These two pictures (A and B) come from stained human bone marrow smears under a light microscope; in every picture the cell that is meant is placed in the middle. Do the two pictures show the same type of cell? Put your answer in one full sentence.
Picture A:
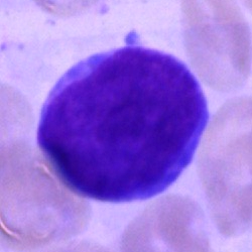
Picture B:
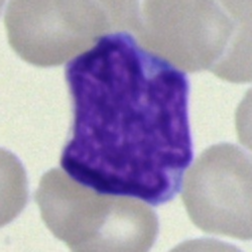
Yes, both are blasts.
